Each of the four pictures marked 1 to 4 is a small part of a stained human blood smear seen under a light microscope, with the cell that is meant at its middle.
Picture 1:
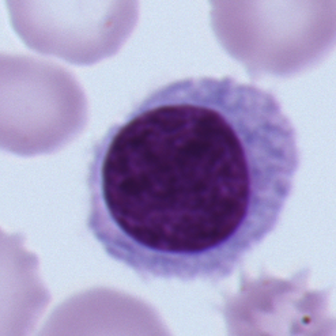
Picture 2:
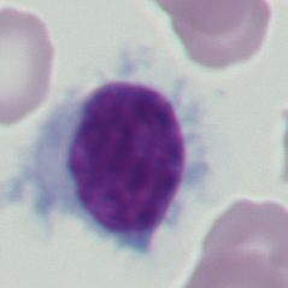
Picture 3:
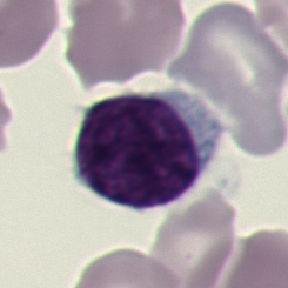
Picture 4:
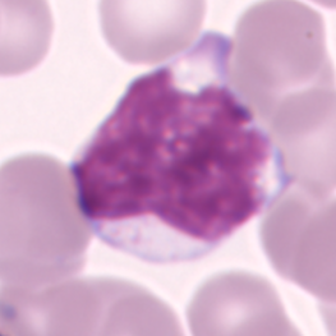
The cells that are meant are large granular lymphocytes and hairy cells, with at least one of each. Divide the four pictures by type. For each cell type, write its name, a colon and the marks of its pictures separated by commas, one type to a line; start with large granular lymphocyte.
large granular lymphocyte: 4
hairy cell: 1, 2, 3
